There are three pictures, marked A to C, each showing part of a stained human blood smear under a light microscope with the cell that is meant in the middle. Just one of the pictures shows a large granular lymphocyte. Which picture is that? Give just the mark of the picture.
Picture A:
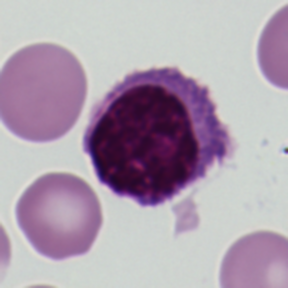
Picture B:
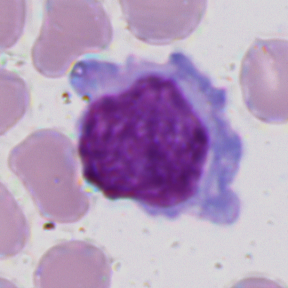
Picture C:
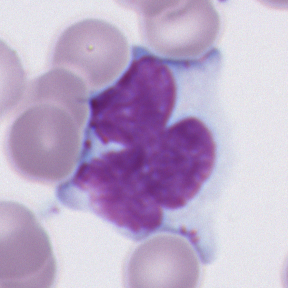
C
